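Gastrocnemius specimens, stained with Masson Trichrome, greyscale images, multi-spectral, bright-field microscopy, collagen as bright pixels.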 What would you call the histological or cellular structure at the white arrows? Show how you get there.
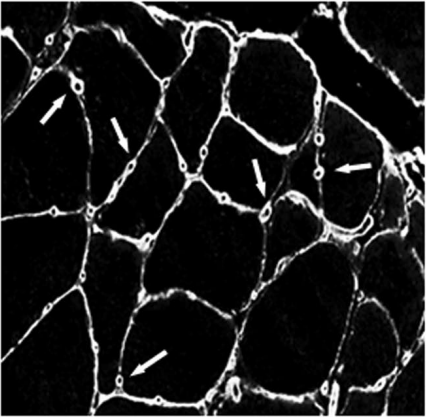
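Small round ring-shaped profiles lie in the bright interstitium at the arrow tips. The rings sit at junctions and along borders between the large black profiles. The answer: microvessels.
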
